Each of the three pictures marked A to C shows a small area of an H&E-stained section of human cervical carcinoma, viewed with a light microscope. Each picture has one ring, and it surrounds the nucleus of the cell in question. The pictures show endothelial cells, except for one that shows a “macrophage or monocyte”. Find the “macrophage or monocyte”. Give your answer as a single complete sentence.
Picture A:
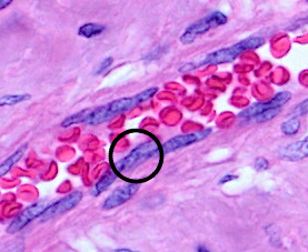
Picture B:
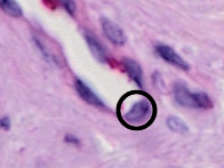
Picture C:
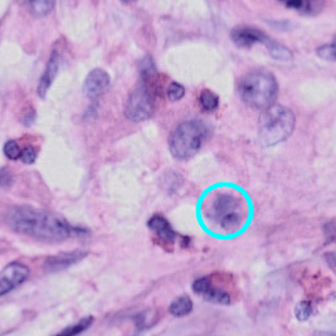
It is picture C that shows the “macrophage or monocyte”.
